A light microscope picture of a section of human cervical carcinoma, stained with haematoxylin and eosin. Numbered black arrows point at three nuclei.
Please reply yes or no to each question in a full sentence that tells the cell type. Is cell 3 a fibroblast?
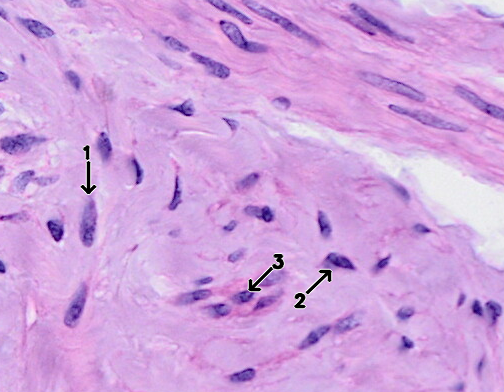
No, what number 3 shows is a smooth muscle cell, not a fibroblast.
